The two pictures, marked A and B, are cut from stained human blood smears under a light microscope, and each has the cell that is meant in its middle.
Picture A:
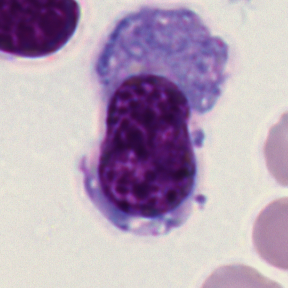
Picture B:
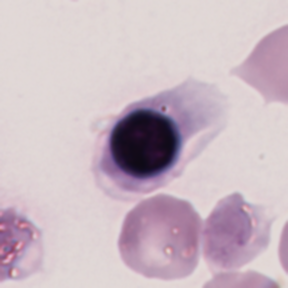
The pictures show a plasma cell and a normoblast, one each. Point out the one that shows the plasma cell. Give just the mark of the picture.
A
